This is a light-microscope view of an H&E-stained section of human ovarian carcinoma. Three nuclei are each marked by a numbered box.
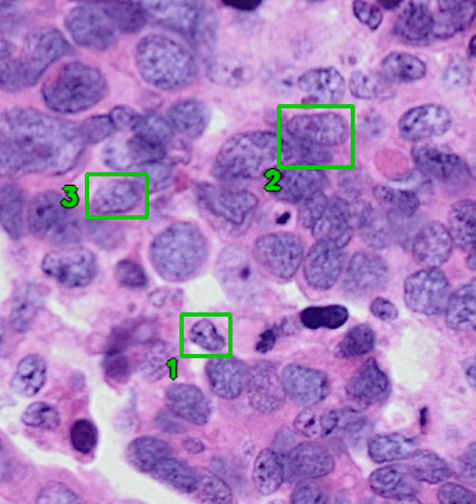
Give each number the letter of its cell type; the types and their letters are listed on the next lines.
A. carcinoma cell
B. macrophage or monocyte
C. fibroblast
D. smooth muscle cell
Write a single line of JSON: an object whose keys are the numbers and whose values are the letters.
{"1": "B", "2": "A", "3": "A"}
